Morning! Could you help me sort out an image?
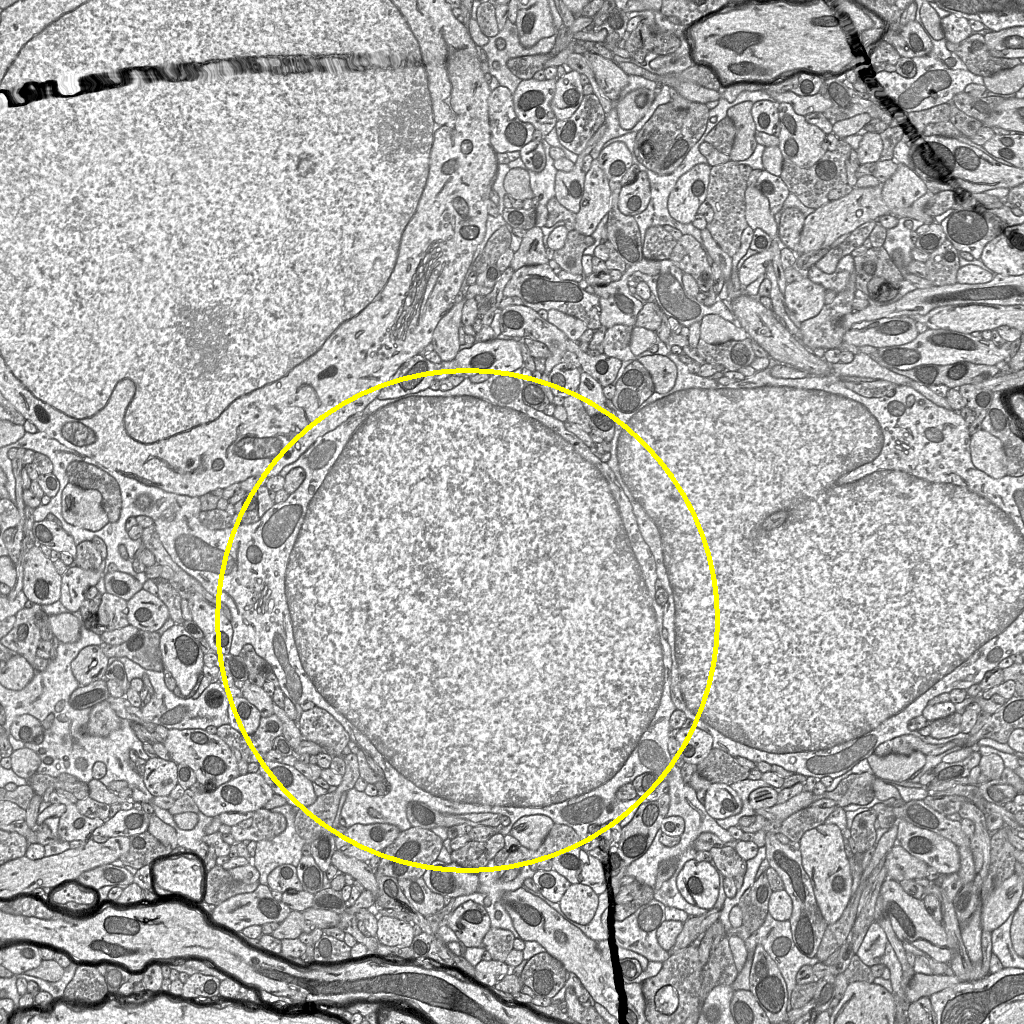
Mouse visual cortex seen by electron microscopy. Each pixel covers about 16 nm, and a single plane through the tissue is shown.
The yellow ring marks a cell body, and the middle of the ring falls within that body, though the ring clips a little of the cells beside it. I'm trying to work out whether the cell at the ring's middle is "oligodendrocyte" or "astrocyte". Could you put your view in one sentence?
The cell body at the ring's middle is that of an astrocyte.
